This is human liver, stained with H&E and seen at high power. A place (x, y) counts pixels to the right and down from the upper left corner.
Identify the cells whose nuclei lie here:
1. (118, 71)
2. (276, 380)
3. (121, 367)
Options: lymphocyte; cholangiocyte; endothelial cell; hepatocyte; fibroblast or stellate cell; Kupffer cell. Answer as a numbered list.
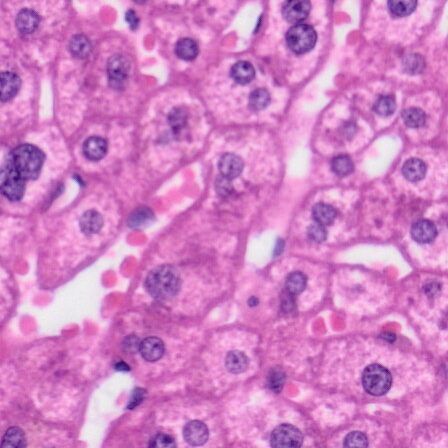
1. hepatocyte
2. endothelial cell
3. fibroblast or stellate cell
